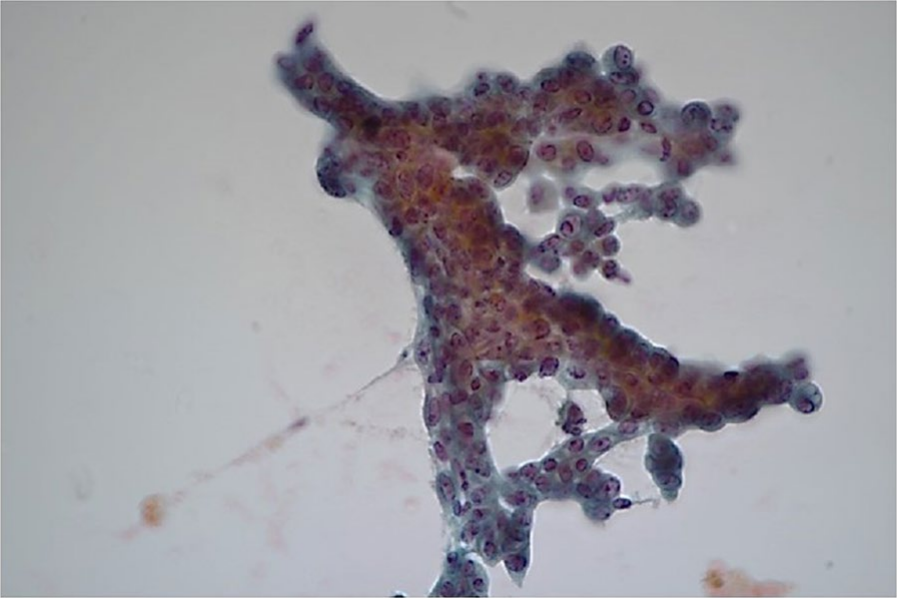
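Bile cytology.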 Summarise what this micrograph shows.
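A large cohesive, branching cluster of epithelial cells lies on a clean, pale background with a few thin strands. The cells are crowded and overlapping, with orange-brown cytoplasm in the thick centre of the cluster and pale bluish cytoplasm at its thinner edges. Nuclei are dark purple, round to oval and of clearly varying size, some with visible nucleoli. Small groups of cells bud off the edges of the branches.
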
